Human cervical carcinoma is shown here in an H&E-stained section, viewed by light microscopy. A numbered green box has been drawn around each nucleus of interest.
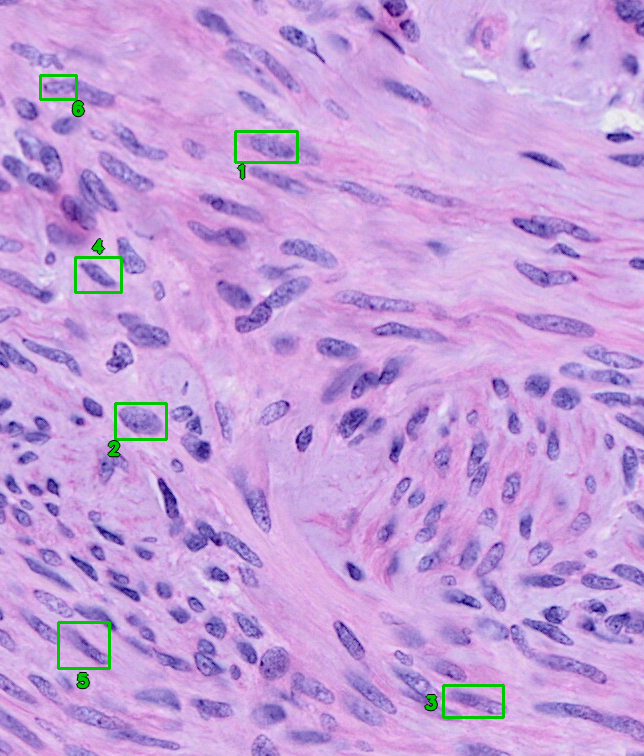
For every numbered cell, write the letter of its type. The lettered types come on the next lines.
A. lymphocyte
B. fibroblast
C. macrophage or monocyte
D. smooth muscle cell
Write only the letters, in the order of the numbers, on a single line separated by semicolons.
D; B; D; B; D; D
